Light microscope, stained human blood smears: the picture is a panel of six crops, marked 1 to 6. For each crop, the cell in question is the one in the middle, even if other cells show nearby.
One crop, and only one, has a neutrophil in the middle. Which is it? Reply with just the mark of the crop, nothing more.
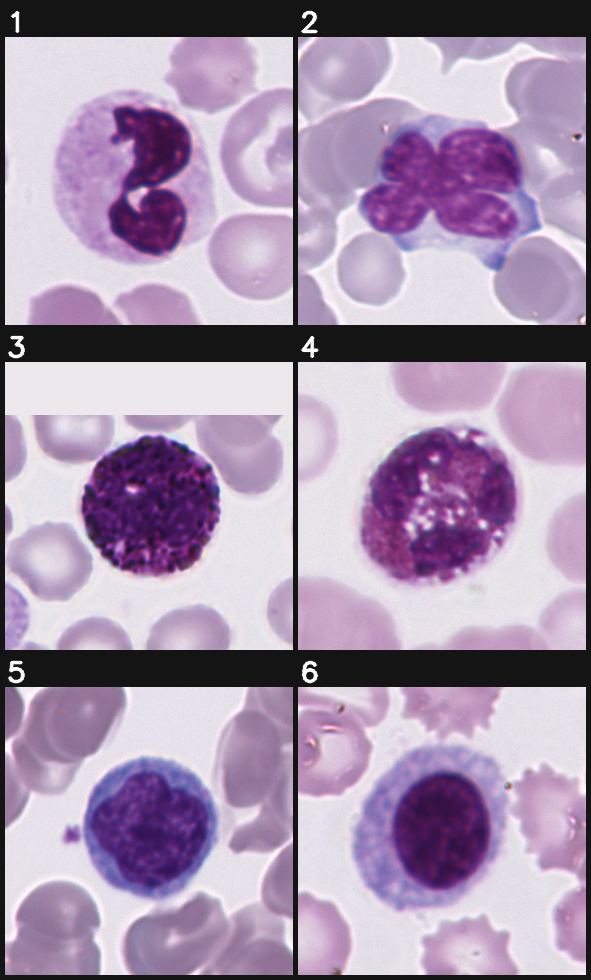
1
